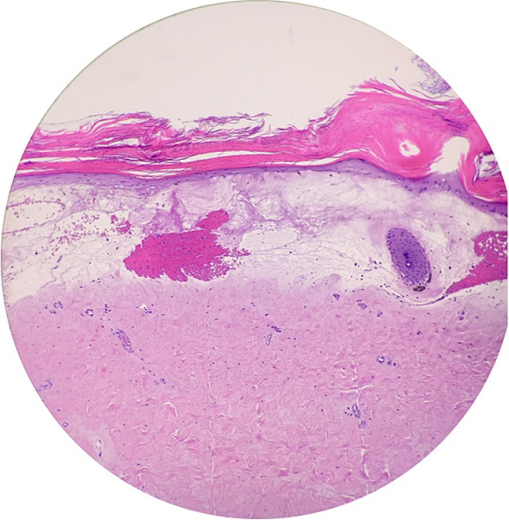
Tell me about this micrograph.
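This is skin with a thin epidermis capped by a thick, compact, bright pink layer of keratin. Directly beneath the epidermis the upper dermis forms a broad pale, glassy, almost structureless band in which a bright red patch of extravasated red blood cells lies.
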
